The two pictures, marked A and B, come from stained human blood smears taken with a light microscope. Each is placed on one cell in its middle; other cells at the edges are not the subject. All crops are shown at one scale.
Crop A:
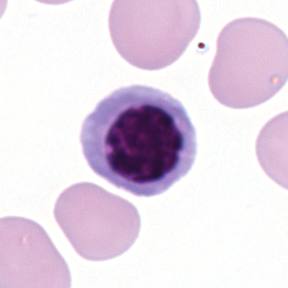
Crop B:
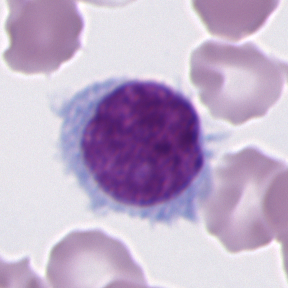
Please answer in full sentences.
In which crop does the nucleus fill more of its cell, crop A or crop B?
In crop B the nucleus takes up the larger part of its cell.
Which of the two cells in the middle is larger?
Crop B holds the larger cell; it covers about 2 times the area of the cell in crop A.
